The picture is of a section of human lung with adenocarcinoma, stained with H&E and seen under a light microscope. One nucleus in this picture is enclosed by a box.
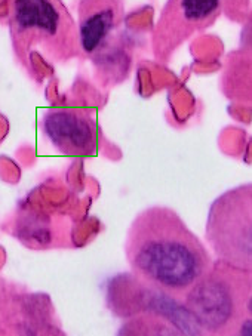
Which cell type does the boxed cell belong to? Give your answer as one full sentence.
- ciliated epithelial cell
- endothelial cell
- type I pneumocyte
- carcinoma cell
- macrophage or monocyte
What the boxed cell represents is a macrophage or monocyte.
